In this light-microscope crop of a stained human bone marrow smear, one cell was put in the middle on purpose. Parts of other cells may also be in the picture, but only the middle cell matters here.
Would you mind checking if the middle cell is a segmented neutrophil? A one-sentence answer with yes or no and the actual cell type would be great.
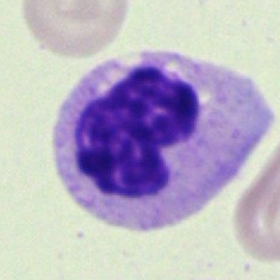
Yes, the cell at the midpoint of the crop is a segmented neutrophil.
